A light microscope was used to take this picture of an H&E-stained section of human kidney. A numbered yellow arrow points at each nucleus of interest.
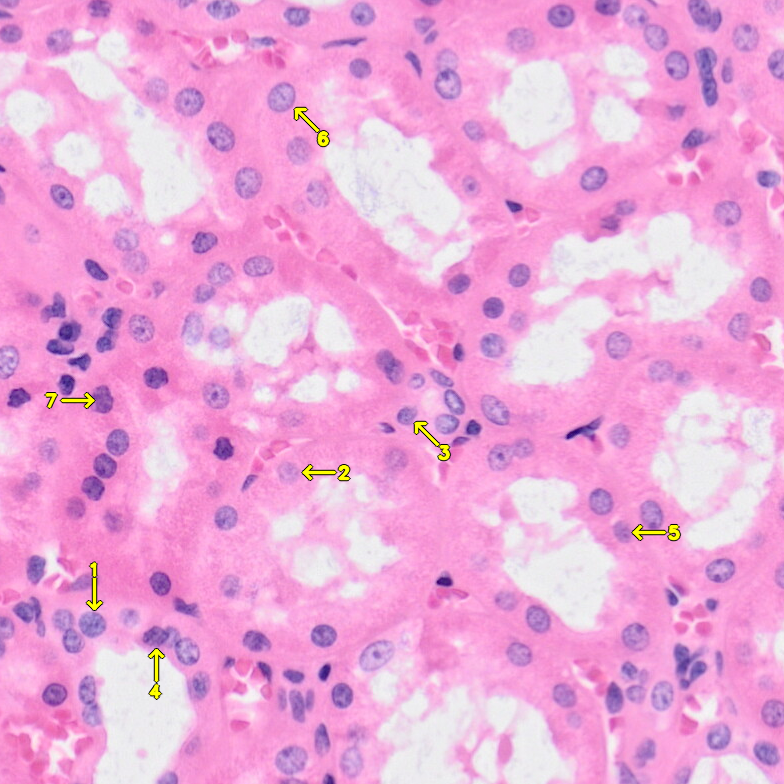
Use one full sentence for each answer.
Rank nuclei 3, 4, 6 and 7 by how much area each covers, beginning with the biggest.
Largest first, the order by area is 6, 7, 4, 3.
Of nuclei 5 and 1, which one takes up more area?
Nucleus 1 covers more area, about 2 times as much as nucleus 5.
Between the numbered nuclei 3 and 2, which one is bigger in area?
At about 1.5 times the area of nucleus 3, nucleus 2 is the larger of the two.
